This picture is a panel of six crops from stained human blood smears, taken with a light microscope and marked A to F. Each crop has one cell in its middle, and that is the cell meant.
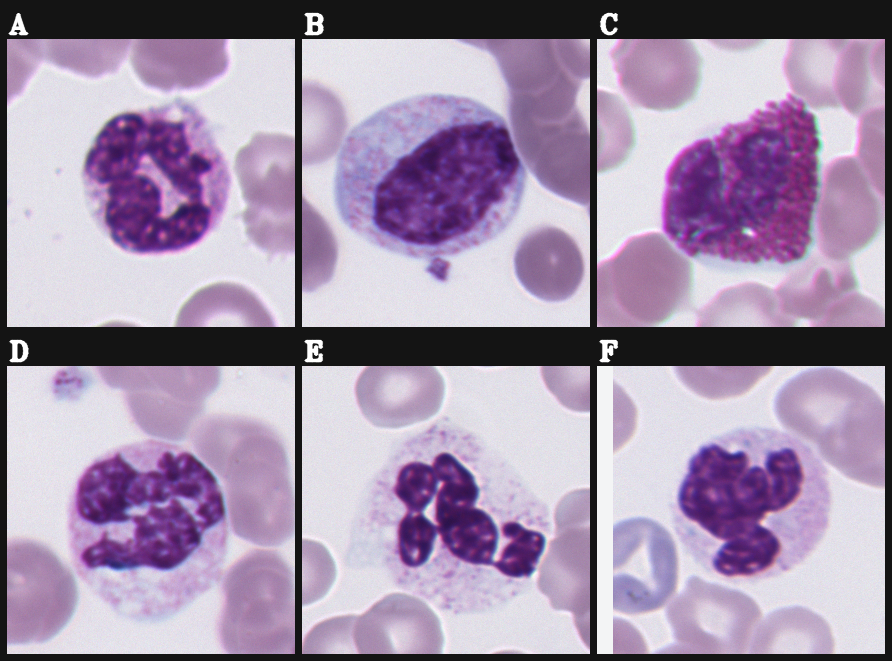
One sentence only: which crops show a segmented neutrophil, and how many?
Of all the crops, four show segmented neutrophils: A, D, E and F.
